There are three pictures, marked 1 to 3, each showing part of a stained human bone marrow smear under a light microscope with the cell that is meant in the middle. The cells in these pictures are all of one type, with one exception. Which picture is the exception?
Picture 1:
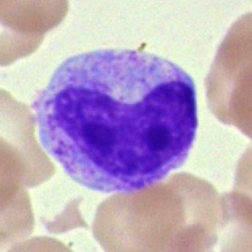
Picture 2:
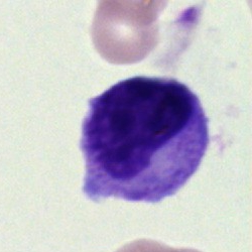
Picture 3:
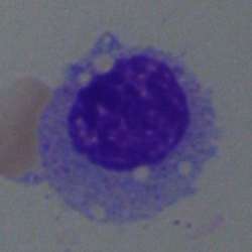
3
